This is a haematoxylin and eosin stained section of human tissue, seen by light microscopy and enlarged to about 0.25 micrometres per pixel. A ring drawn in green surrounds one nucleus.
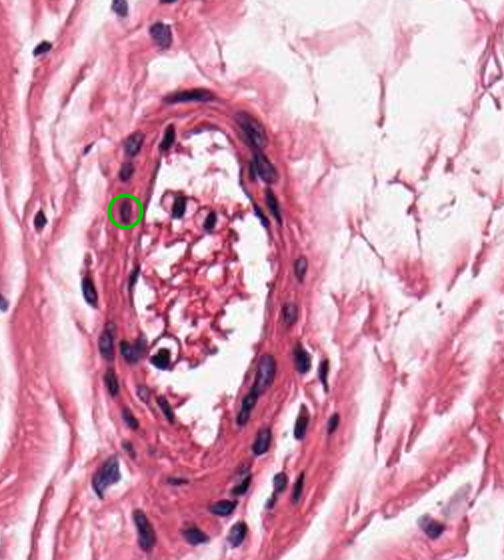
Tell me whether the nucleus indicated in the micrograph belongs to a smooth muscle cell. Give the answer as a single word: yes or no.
yes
